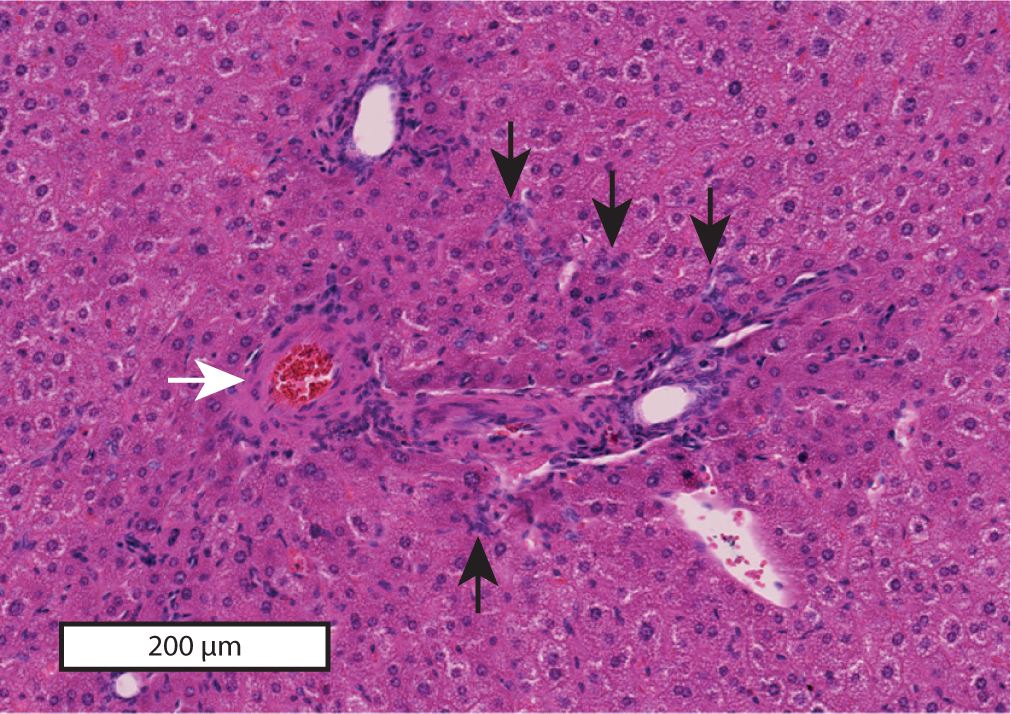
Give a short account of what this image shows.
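Liver parenchyma with plates of polygonal hepatocytes bearing round central nuclei and pink cytoplasm, around a portal region. Around the vessels, many small cells with dark, elongated nuclei crowd in strands and small duct-like clusters that extend between the hepatocyte plates.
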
